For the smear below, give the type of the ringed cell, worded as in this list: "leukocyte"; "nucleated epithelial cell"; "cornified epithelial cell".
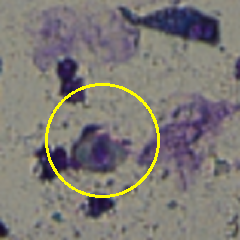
nucleated epithelial cell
